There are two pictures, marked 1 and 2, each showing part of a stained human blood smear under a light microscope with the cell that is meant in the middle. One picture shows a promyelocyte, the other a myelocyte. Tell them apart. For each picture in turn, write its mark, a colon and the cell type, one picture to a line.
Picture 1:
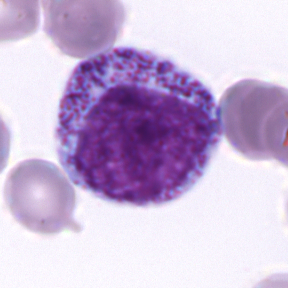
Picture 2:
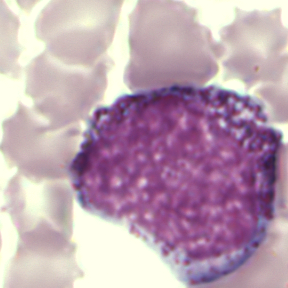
1: myelocyte
2: promyelocyte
